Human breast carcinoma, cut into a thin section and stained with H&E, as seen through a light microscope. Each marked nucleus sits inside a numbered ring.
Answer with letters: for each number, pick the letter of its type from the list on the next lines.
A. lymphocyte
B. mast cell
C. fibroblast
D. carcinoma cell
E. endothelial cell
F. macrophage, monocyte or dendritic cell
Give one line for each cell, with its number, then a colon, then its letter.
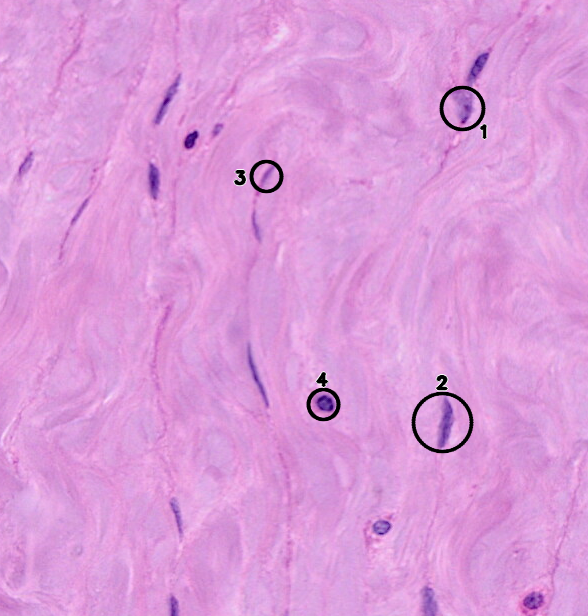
1: C
2: C
3: C
4: B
